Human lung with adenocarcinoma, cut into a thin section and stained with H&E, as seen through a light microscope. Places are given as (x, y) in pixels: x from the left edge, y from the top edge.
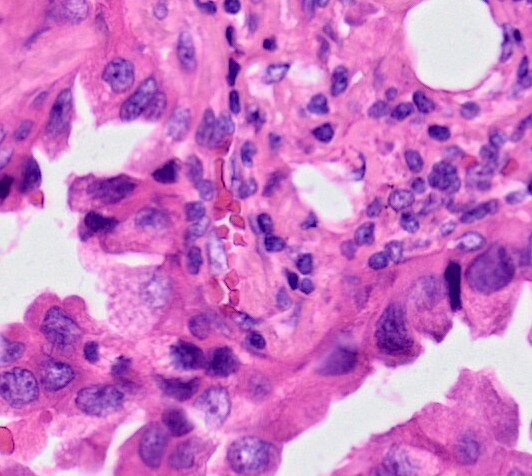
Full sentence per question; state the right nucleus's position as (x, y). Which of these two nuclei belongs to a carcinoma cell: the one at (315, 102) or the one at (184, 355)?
Of the two candidate nuclei, the one at (184, 355) is that of a carcinoma cell.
